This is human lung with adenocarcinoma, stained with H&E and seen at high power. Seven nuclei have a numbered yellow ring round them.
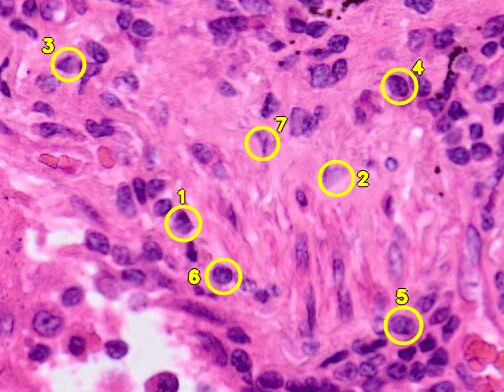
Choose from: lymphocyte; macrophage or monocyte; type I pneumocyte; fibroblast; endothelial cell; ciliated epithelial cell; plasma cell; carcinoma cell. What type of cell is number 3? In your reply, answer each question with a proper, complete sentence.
It is as a lymphocyte that the cell numbered 3 is identified.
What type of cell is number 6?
The cell carrying label 6 is identified as a lymphocyte.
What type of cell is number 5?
In this section, the cell tagged 5 is a lymphocyte.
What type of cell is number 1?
Among the marked cells, number 1 is a lymphocyte.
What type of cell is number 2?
Cell 2 in the field of view is a fibroblast.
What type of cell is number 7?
Looking at the numbered marks, cell 7 is a fibroblast.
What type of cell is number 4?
Looking at the numbered marks, cell 4 is a plasma cell.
